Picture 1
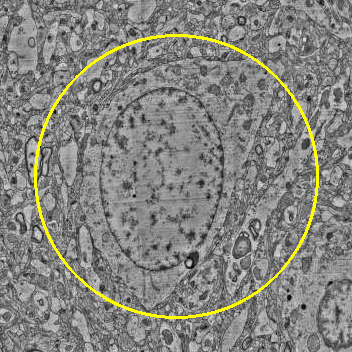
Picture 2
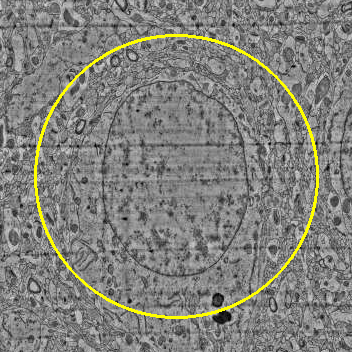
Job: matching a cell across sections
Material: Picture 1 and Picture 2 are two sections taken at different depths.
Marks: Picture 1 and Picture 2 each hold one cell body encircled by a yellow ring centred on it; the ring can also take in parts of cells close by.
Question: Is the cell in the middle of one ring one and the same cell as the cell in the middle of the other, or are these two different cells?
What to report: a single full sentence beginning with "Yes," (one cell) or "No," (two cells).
No, the rings mark separate cells, one per ring.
